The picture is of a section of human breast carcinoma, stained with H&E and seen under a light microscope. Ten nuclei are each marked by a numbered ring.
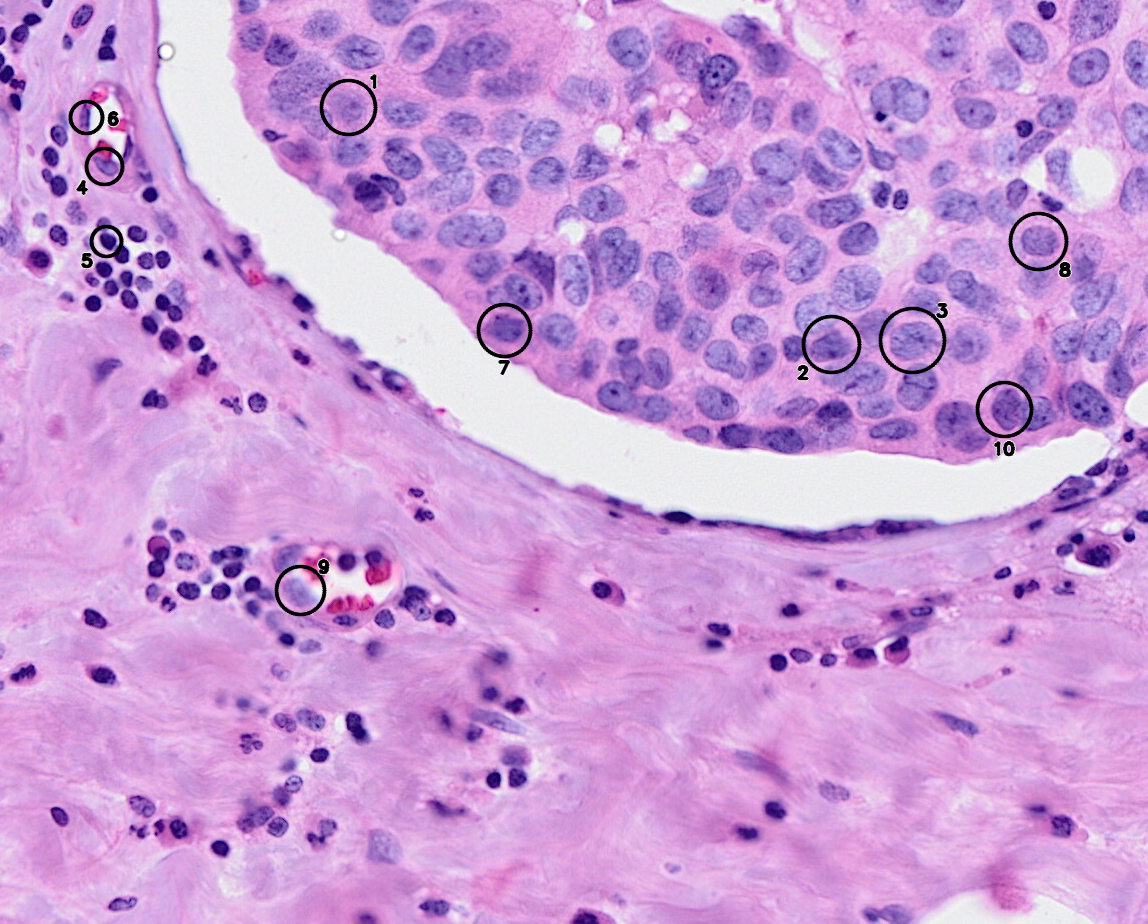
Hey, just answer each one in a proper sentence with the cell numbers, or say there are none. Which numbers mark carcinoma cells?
The cells numbered 1, 2, 3, 7, 8 and 10 are typed as carcinoma cells.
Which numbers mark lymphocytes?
Only one of the numbered nuclei, number 5, belongs to a lymphocyte.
